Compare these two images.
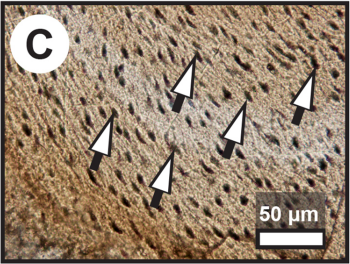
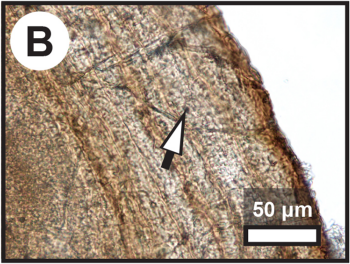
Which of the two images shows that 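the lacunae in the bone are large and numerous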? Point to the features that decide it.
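First image: many large dark spindle-shaped spaces are scattered densely through the matrix. Second image: the layered bone shows few, small dark spaces. So: the first image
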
